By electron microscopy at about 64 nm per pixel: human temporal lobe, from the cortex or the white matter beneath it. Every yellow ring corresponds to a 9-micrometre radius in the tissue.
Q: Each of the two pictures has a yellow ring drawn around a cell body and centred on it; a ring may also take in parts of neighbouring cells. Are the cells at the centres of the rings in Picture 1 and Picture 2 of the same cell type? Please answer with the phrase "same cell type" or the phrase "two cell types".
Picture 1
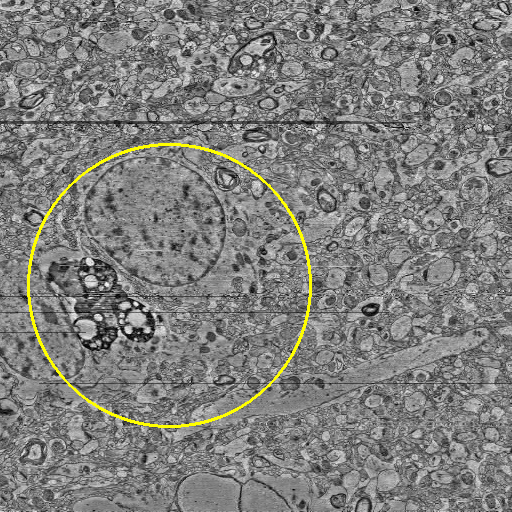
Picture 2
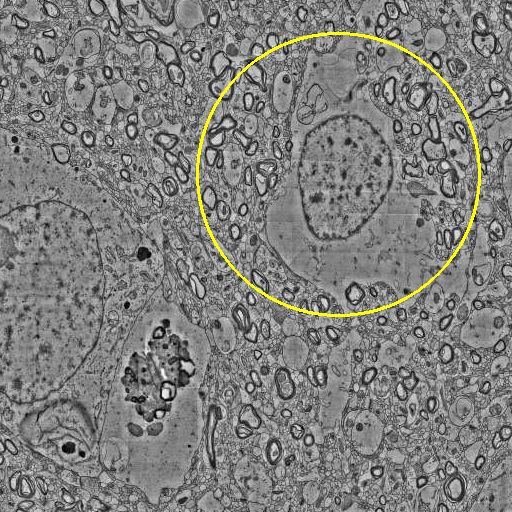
same cell type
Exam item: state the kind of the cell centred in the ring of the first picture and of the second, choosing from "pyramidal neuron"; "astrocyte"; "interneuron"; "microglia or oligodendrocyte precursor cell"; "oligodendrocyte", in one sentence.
Each of the two cells is an astrocyte.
